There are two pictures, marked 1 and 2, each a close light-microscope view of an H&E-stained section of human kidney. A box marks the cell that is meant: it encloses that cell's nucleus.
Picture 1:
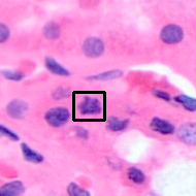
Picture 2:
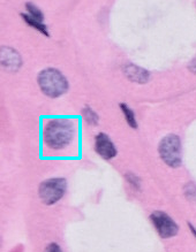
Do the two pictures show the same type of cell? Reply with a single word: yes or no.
yes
